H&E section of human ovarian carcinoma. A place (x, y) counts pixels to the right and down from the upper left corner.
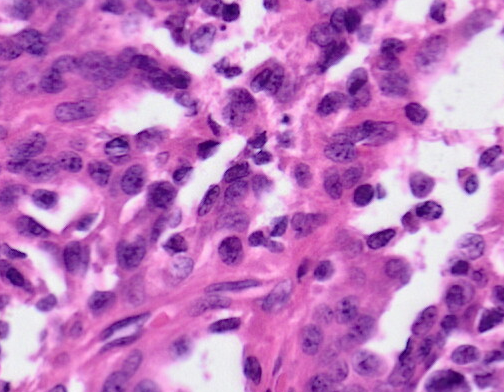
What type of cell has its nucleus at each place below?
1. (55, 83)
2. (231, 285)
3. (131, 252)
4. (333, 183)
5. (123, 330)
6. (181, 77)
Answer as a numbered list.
1. carcinoma cell
2. endothelial cell
3. carcinoma cell
4. carcinoma cell
5. endothelial cell
6. carcinoma cell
